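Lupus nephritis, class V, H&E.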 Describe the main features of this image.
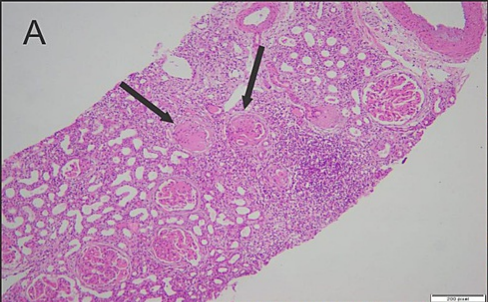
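Low-power view of a kidney biopsy core with multiple glomeruli scattered among cross-sectioned tubules. Some glomeruli appear solid and eosinophilic, and a dense focus of small dark-staining nuclei fills the interstitium in the lower middle of the core.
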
